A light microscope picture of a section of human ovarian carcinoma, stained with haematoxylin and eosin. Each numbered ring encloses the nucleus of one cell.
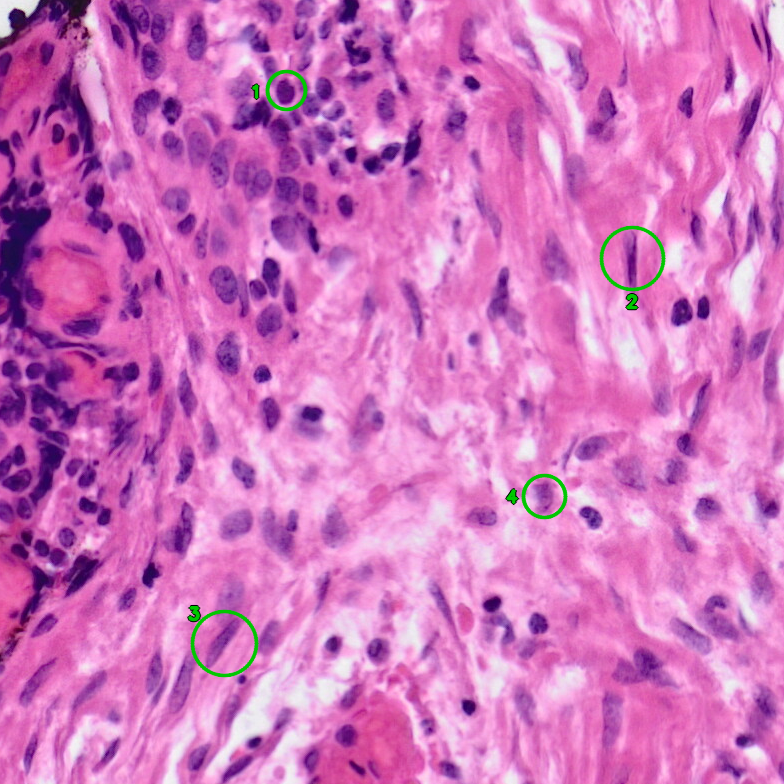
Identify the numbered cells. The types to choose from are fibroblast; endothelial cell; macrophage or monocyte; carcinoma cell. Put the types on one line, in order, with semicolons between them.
carcinoma cell; fibroblast; fibroblast; fibroblast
